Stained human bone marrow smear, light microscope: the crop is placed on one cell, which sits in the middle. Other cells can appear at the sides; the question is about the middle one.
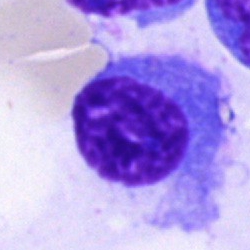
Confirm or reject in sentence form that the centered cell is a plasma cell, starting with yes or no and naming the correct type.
Yes, a plasma cell is present in the middle of the crop.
